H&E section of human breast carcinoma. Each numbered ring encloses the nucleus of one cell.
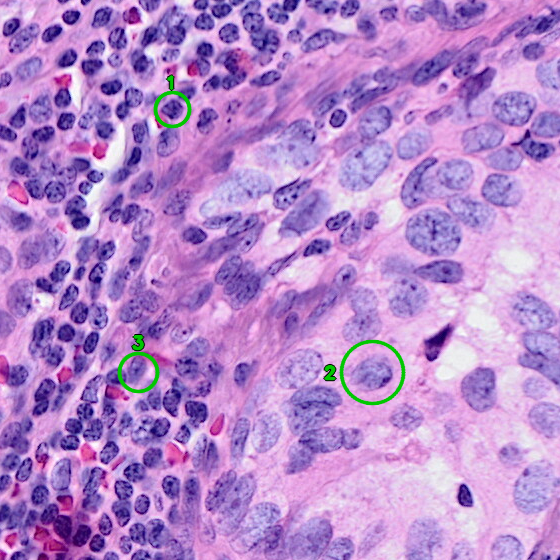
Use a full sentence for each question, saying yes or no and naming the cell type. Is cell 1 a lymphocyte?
Yes, in this section the cell numbered 1 is a lymphocyte.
